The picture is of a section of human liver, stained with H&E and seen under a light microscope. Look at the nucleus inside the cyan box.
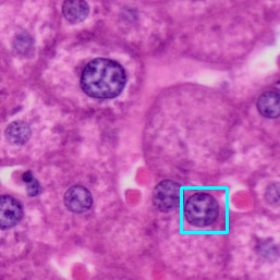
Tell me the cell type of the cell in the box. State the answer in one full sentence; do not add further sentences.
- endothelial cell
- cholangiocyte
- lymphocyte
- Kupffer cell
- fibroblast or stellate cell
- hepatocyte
In short, the cell in the box on this section is a hepatocyte.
